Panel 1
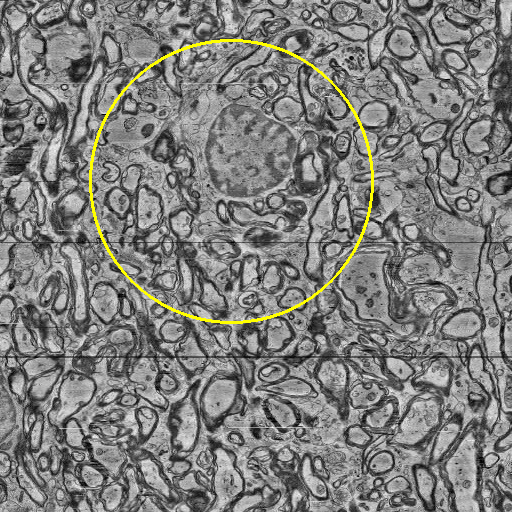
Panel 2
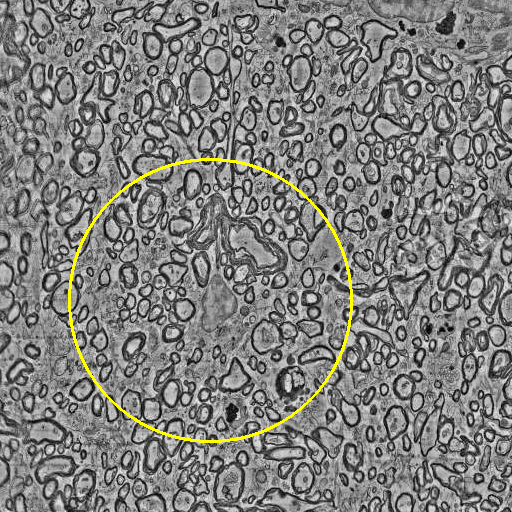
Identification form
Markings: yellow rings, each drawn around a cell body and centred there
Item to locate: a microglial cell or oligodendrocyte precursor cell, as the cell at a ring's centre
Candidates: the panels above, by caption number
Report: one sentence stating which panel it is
It is Panel 1.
